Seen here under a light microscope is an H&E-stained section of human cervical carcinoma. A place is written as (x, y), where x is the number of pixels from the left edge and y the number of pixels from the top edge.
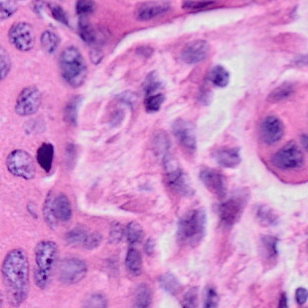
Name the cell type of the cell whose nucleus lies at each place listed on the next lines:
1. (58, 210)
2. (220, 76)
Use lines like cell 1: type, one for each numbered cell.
cell 1: squamous carcinoma cell
cell 2: lymphocyte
